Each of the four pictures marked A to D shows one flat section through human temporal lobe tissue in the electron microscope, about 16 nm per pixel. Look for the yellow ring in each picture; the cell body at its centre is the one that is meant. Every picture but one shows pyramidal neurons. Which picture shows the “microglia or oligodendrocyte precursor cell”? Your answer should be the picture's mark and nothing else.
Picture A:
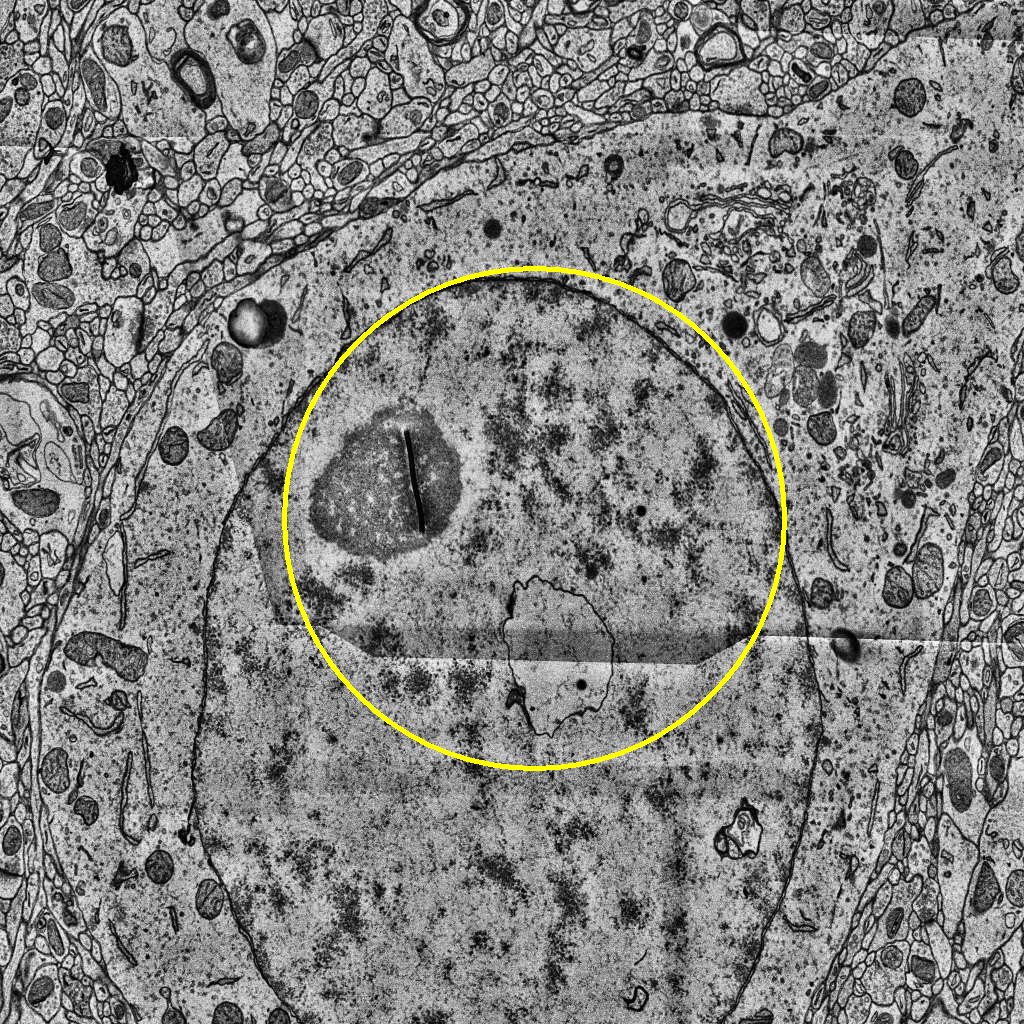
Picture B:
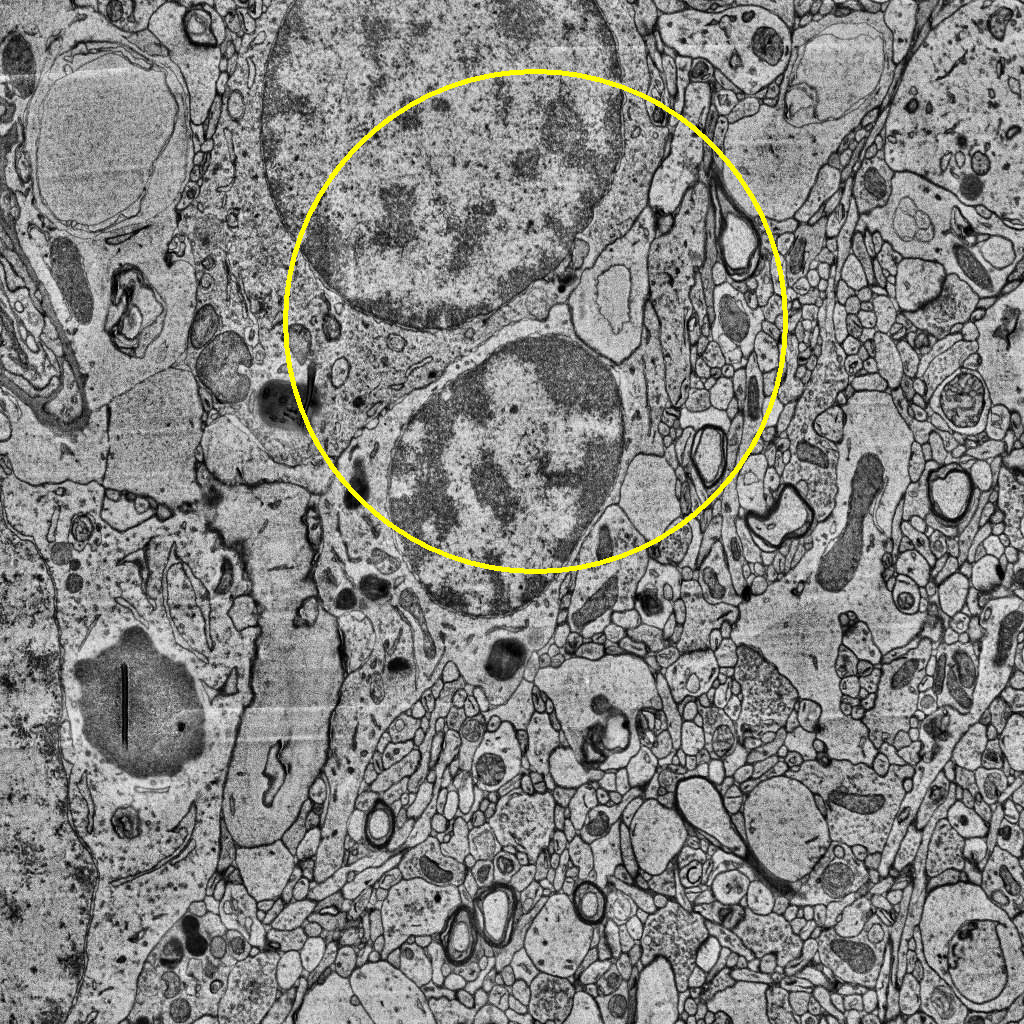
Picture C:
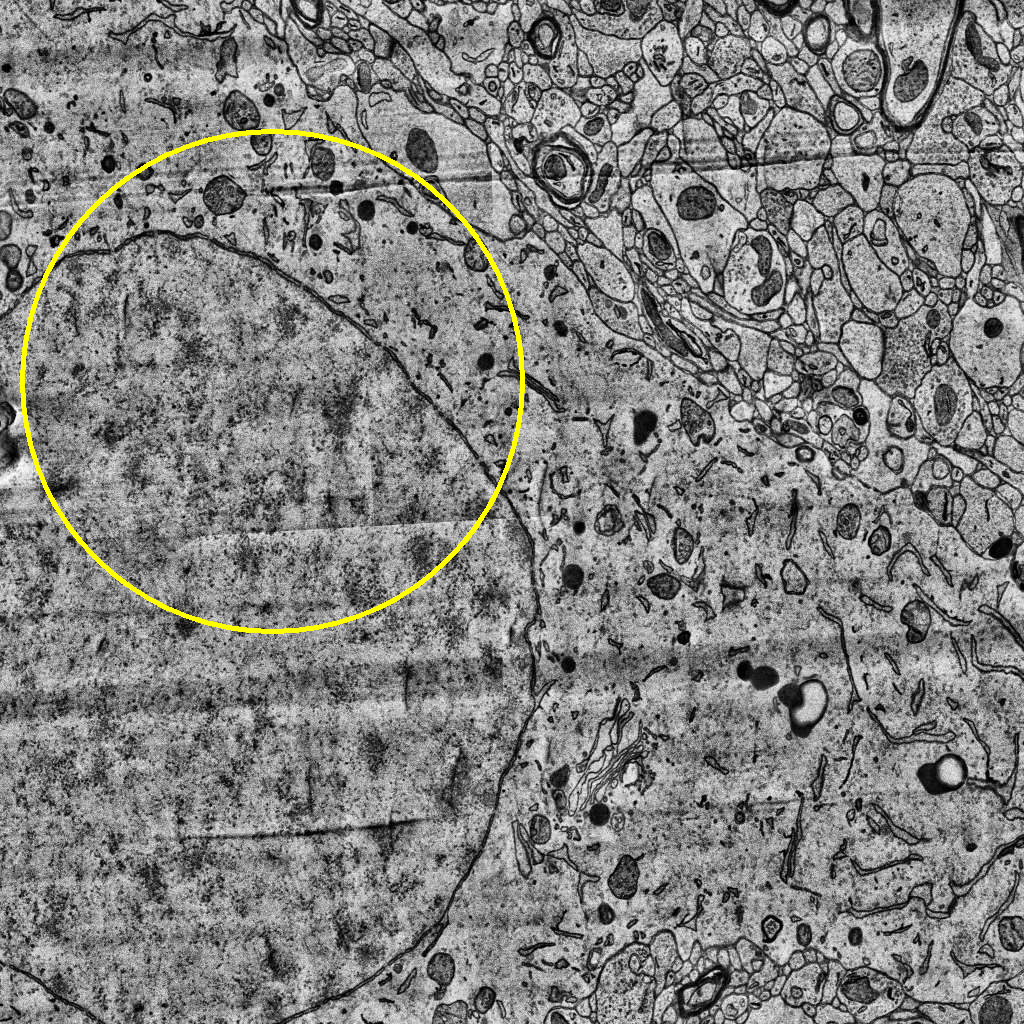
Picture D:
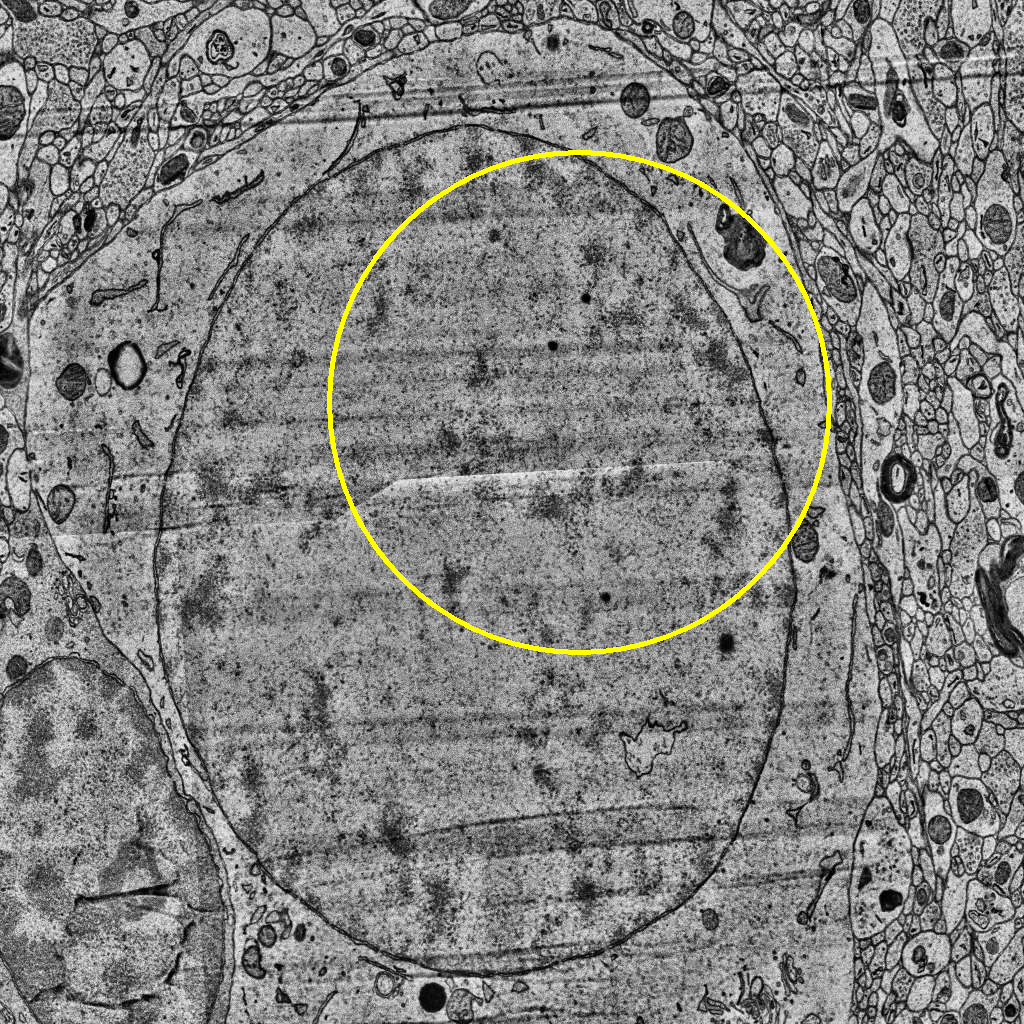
B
